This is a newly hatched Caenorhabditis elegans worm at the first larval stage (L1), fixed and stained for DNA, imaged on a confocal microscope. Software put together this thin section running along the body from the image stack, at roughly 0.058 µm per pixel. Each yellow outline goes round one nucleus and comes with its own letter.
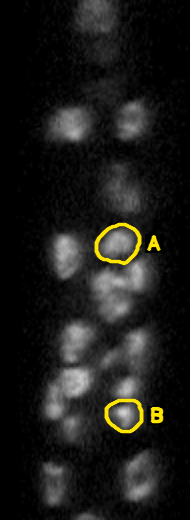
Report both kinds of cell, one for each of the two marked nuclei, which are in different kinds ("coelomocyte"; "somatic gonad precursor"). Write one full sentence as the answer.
B belongs to a coelomocyte, and A to a somatic gonad precursor.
